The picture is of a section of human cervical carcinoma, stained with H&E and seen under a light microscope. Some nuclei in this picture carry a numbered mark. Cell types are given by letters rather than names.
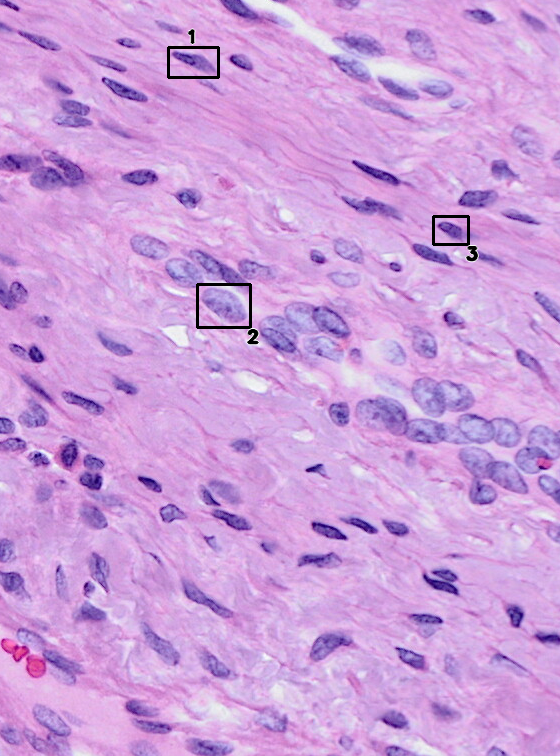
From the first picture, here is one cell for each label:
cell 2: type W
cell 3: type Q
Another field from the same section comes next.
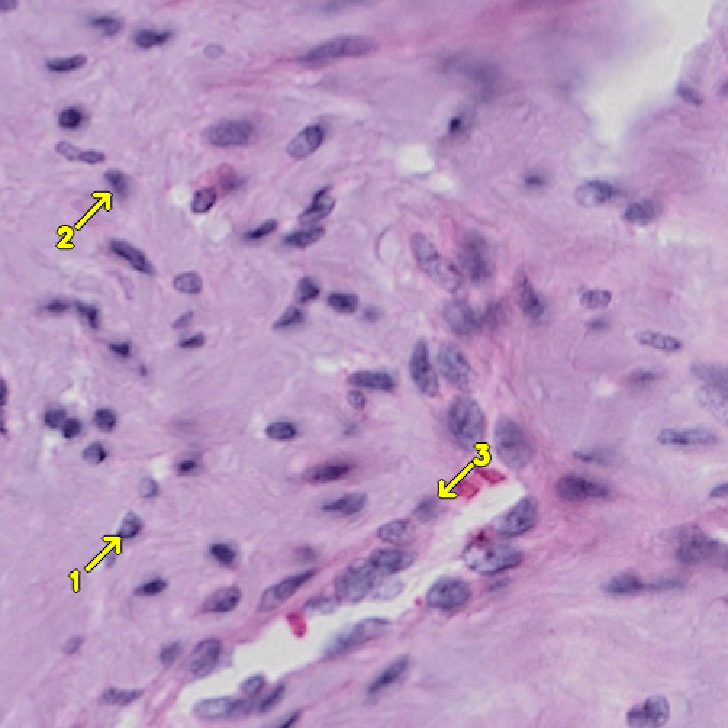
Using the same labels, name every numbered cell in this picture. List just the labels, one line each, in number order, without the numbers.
type Q
type Q
type W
